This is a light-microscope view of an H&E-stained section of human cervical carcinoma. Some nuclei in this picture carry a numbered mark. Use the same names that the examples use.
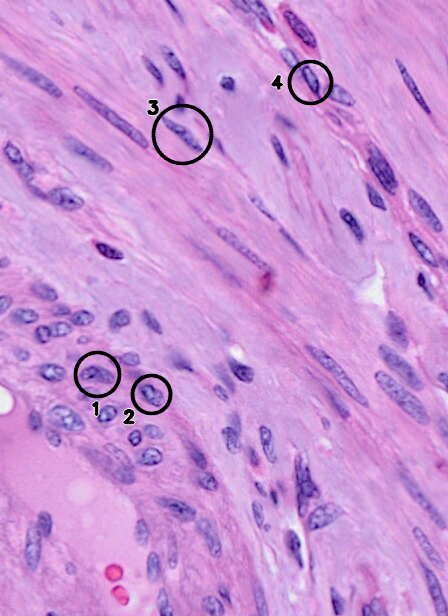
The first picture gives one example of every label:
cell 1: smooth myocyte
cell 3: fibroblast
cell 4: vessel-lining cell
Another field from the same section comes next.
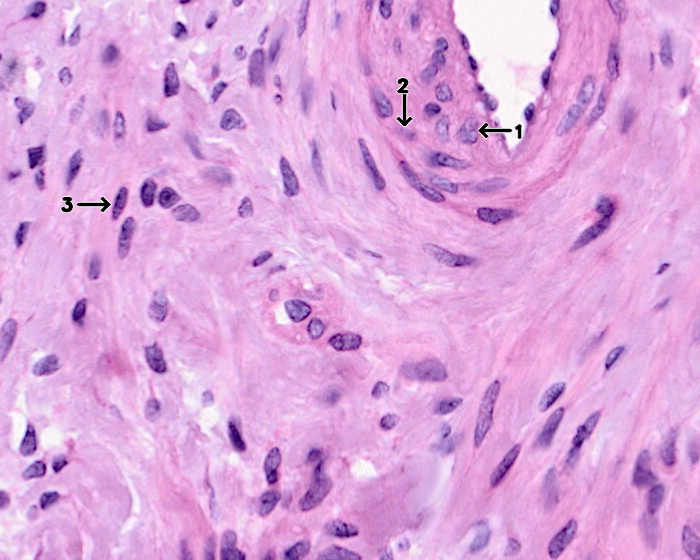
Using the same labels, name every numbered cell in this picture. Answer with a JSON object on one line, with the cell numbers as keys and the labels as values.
{"1": "smooth myocyte", "2": "smooth myocyte", "3": "fibroblast"}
